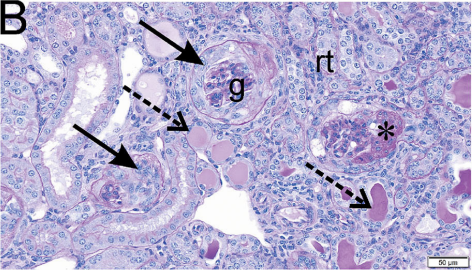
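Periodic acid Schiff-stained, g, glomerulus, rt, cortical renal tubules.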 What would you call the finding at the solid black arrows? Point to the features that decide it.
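The arrows point to glomeruli surrounded by a layered band of cells. The cell band fills the space between the glomerular tuft and its capsule.
Hence: crescent-shaped masses of proliferating cells in Bowman's space.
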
